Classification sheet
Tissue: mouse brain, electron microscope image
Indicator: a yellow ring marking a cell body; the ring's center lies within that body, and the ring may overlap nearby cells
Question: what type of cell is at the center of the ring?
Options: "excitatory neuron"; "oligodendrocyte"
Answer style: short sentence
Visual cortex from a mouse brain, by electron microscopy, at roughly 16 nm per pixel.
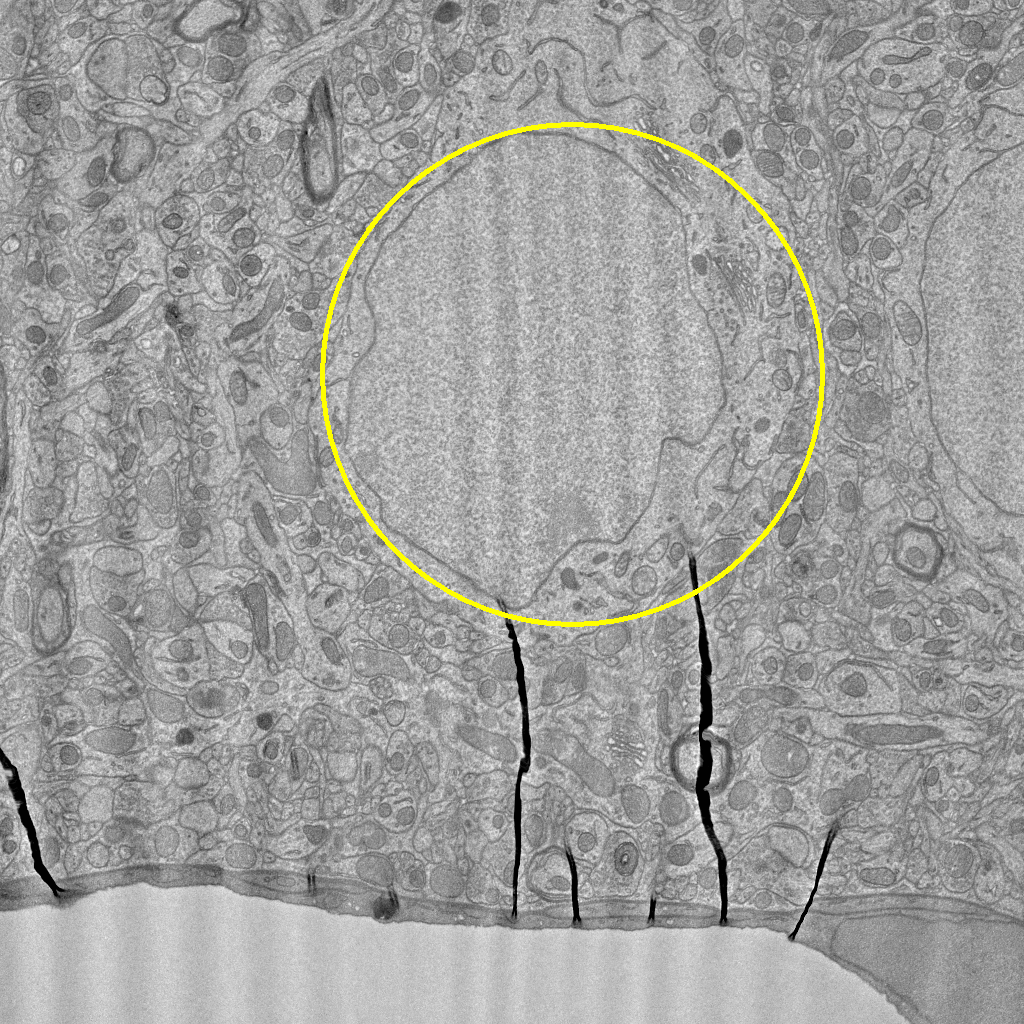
At the ring's center is an excitatory neuron.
